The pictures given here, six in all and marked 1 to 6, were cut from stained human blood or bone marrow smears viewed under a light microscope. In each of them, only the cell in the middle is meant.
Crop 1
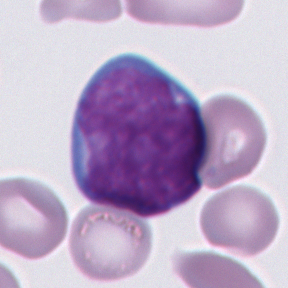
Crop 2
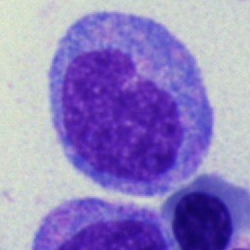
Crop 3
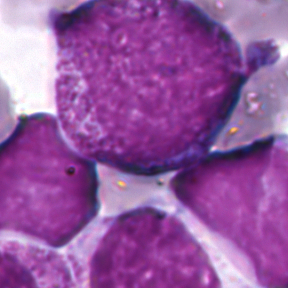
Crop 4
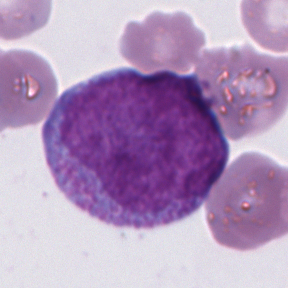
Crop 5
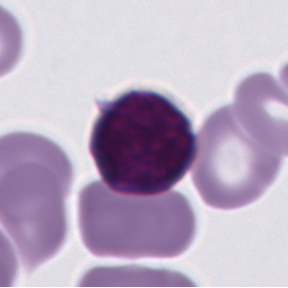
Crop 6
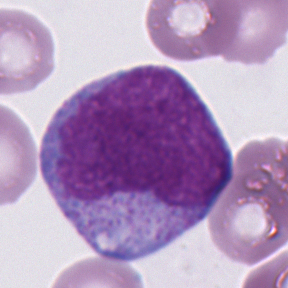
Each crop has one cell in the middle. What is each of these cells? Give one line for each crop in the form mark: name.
1: blast
2: promyelocyte
3: promyelocyte
4: promyelocyte
5: blast
6: promyelocyte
